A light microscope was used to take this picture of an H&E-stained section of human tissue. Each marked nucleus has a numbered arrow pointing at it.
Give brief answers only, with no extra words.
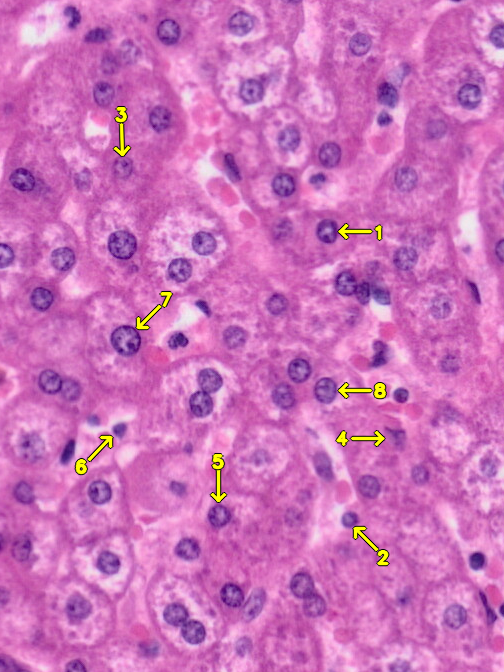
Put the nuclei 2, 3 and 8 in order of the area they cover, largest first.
8, 3, 2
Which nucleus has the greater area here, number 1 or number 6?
1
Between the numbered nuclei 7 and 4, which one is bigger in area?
7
